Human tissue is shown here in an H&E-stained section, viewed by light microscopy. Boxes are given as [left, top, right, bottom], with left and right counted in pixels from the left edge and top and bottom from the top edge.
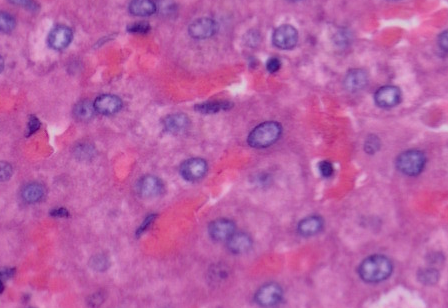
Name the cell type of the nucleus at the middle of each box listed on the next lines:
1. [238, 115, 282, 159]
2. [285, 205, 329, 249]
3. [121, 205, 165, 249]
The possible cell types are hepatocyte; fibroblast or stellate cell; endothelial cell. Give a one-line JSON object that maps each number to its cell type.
{"1": "hepatocyte", "2": "hepatocyte", "3": "endothelial cell"}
